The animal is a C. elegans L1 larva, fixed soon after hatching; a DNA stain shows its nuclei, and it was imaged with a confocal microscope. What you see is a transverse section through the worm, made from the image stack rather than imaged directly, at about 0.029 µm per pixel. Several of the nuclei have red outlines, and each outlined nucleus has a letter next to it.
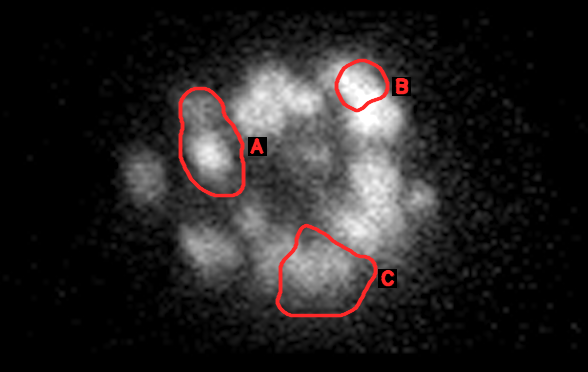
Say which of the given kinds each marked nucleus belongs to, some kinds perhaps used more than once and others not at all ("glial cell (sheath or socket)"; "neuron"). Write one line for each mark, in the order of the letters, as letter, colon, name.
A: neuron
B: glial cell (sheath or socket)
C: neuron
